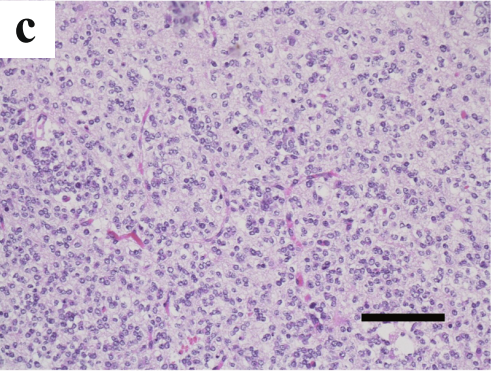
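A dense sheet of tumour cells fills the field, with small, round, rather uniform purple nuclei set closely side by side. Around many nuclei the cytoplasm is pale and clear, so that each nucleus seems to sit in a small empty halo, giving a fried-egg look. No normal brain architecture can be made out between the cells. These features, round nuclei with clear halos and a delicate branching capillary network, are those typical of oligodendroglioma.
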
